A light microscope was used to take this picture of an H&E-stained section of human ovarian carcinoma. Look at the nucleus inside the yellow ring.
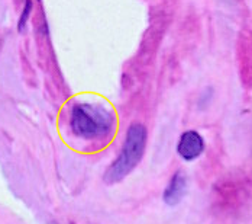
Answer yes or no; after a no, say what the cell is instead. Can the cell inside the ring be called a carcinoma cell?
No, it is an endothelial cell.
